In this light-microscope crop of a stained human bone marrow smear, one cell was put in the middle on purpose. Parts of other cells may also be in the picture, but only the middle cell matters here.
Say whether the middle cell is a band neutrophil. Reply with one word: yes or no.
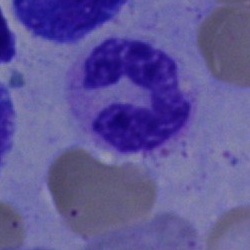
no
